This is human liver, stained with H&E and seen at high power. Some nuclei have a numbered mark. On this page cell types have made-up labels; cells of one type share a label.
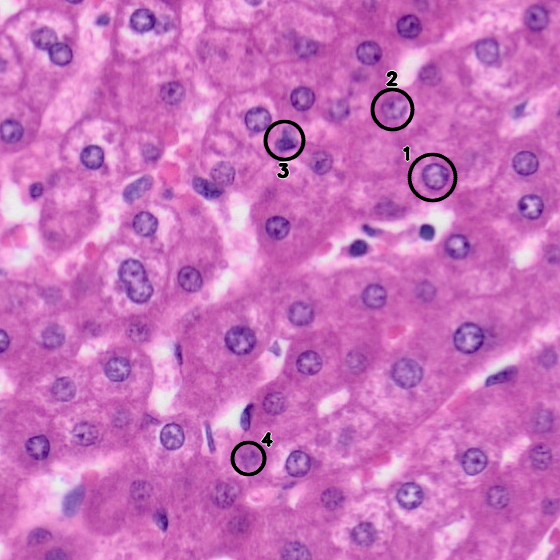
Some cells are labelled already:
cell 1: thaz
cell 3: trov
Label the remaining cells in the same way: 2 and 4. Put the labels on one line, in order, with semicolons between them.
thaz; thaz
